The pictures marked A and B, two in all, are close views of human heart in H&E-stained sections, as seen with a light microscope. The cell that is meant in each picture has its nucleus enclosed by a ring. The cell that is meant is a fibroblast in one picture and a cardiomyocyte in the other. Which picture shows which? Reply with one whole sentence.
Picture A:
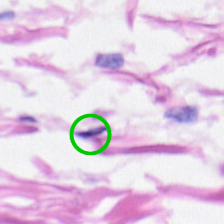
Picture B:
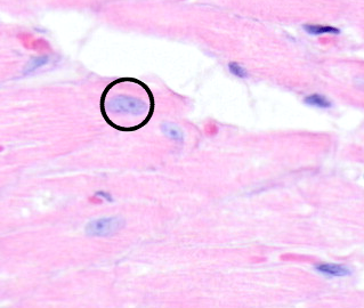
Picture A shows a fibroblast and picture B shows a cardiomyocyte.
